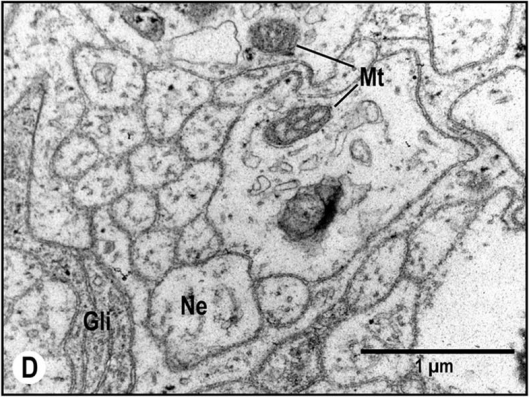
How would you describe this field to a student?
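A bundle of neurites is cut in cross-section. It appears as many small, rounded, membrane-bound profiles packed closely together, with pale, finely granular contents. A few dense, oval mitochondria lie among the profiles, and thin, flattened glial cell processes border the bundle at one side.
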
